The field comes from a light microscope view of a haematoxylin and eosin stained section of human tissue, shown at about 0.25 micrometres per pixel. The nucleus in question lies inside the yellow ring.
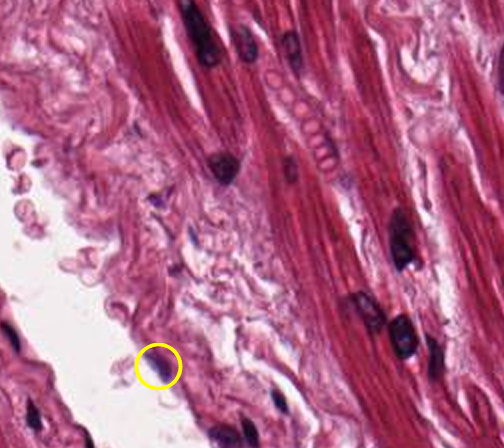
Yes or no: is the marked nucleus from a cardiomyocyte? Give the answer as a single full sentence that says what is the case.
No, the marked nucleus, rather than belonging to a cardiomyocyte, belongs to a supporting cell.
